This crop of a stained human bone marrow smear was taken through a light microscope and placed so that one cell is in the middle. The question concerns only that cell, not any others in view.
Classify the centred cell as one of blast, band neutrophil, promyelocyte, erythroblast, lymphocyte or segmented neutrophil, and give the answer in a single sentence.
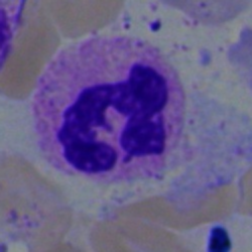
In the crop, the cell of interest at the centre is a segmented neutrophil.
